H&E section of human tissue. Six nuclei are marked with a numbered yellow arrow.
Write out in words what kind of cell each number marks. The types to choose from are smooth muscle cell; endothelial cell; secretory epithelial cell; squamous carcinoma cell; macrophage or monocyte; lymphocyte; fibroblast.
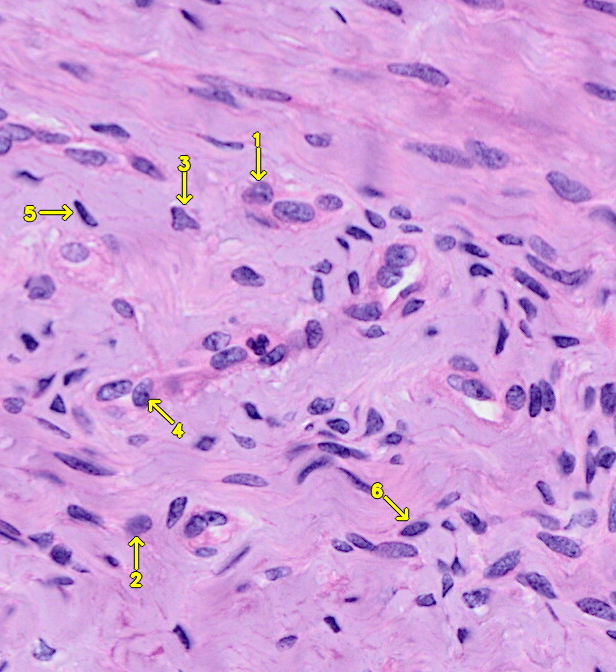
Cells 1 and 4 are endothelial cells. Cells 2, 3, 5 and 6 are fibroblasts.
